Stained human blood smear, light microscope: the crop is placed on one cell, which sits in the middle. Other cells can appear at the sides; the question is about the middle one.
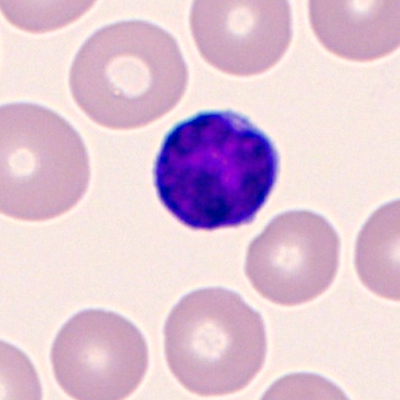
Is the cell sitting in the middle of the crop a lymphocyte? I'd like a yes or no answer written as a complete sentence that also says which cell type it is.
Yes, the cell centred in this crop is a lymphocyte.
